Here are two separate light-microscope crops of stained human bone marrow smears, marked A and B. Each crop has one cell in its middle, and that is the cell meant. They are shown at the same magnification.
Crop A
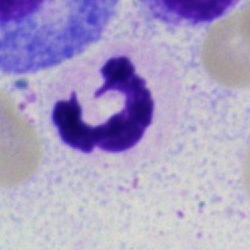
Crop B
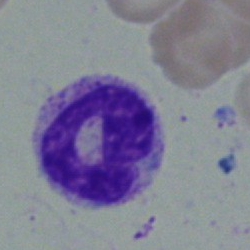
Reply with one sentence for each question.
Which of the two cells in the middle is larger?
The cell in crop B is larger, with about 1.5 times the area of the one in crop A.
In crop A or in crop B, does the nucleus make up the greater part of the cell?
Of the two, the nucleus in crop B makes up the greater part of its cell.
